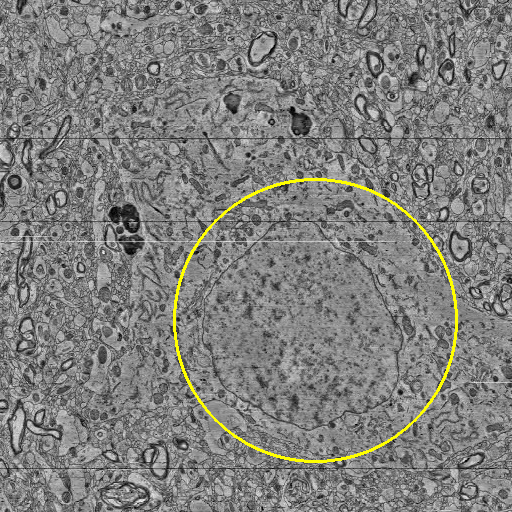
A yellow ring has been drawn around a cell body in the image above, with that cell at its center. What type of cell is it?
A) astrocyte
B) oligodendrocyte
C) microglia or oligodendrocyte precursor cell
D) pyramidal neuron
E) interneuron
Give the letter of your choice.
D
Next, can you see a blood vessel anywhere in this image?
No.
